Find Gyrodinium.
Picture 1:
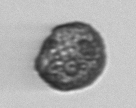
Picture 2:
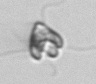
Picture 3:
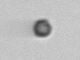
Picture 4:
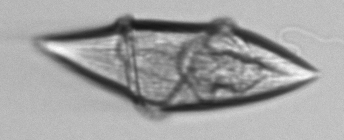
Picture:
4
